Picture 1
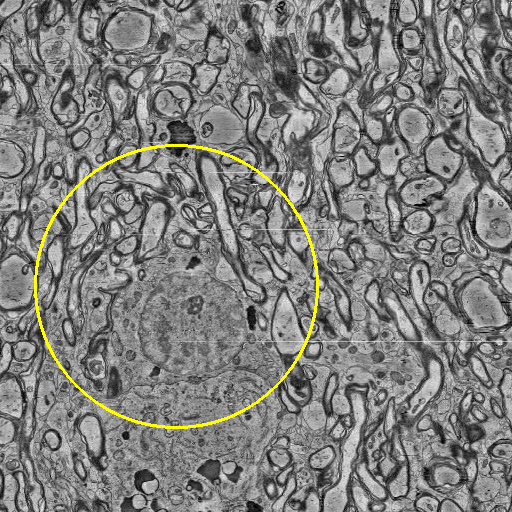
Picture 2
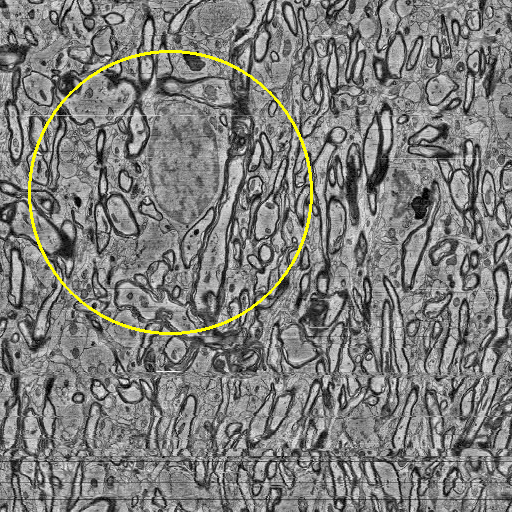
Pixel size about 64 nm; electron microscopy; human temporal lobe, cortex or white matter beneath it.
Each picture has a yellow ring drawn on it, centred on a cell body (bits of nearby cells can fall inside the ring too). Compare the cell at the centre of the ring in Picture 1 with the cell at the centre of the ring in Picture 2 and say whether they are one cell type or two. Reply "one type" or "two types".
one type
